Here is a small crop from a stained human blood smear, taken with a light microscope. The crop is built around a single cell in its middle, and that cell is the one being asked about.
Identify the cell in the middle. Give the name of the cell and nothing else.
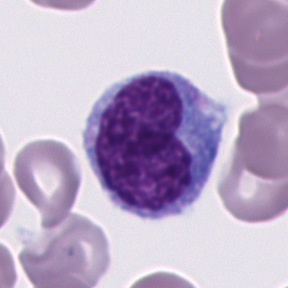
monocyte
